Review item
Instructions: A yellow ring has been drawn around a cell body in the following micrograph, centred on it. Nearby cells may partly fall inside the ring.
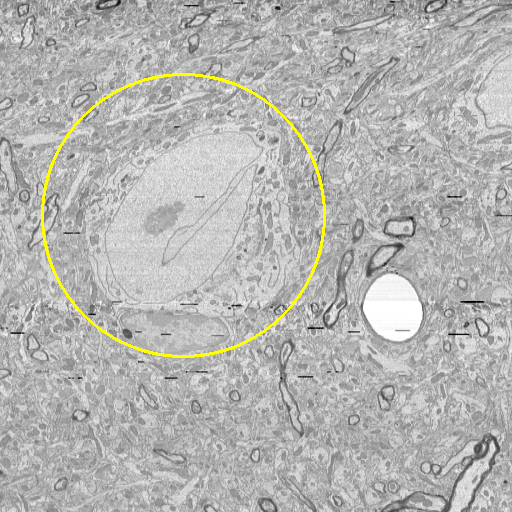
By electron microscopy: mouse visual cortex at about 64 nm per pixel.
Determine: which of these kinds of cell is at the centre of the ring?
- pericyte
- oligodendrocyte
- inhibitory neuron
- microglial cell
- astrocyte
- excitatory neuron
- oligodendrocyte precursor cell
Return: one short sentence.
The cell body in the middle of the ring is that of an excitatory neuron.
